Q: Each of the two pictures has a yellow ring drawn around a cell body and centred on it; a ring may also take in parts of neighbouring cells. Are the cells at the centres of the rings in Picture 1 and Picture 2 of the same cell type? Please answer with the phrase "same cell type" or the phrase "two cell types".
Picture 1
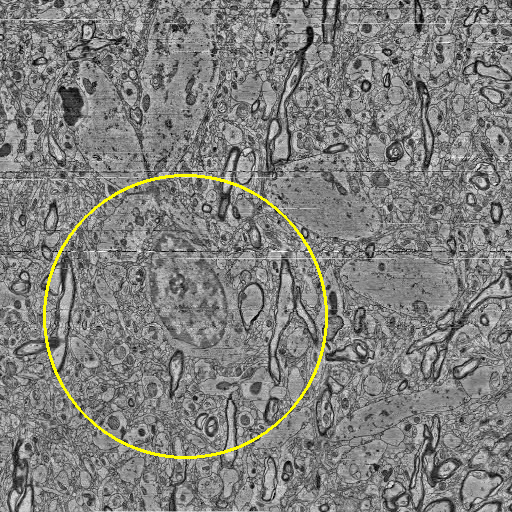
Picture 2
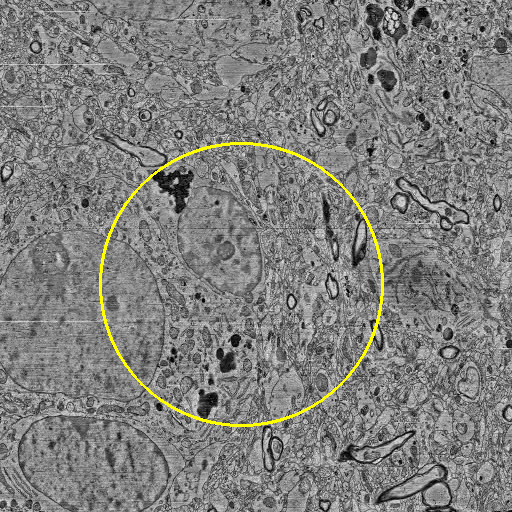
same cell type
